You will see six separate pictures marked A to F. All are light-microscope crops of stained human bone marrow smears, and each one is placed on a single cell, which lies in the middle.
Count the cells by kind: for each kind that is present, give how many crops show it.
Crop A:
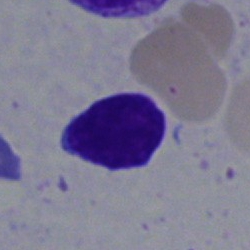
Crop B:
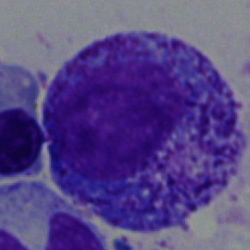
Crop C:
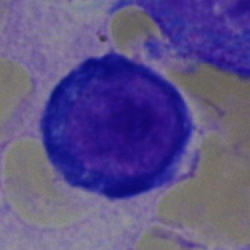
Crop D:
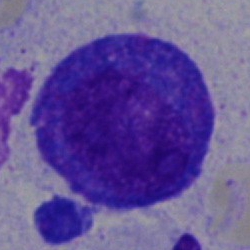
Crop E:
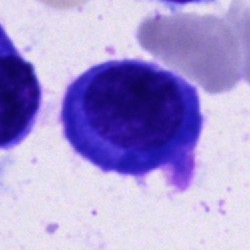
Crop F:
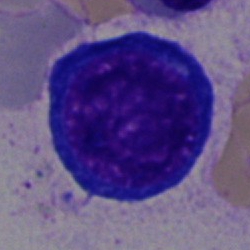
promyelocyte: 2
proerythroblast: 2
lymphocyte: 1
plasma cell: 1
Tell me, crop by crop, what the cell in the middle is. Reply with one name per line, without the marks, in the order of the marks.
lymphocyte
promyelocyte
proerythroblast
promyelocyte
plasma cell
proerythroblast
